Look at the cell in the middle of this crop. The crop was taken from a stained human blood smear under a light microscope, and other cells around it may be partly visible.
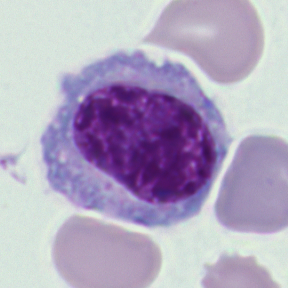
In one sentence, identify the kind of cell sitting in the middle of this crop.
The cell at the middle of the frame should be recorded as a plasma cell.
